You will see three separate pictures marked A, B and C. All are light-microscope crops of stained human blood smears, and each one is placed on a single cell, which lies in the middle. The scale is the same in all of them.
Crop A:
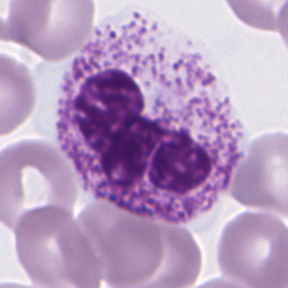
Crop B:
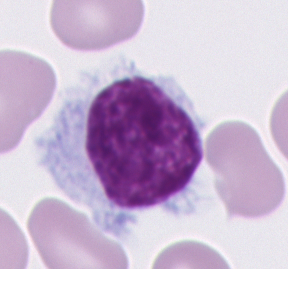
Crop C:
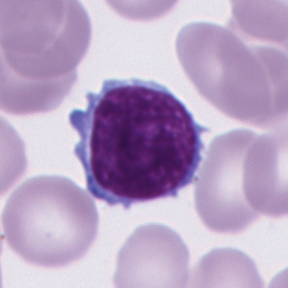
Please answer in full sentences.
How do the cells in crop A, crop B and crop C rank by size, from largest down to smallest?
From the largest down, the order is A, B, C.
